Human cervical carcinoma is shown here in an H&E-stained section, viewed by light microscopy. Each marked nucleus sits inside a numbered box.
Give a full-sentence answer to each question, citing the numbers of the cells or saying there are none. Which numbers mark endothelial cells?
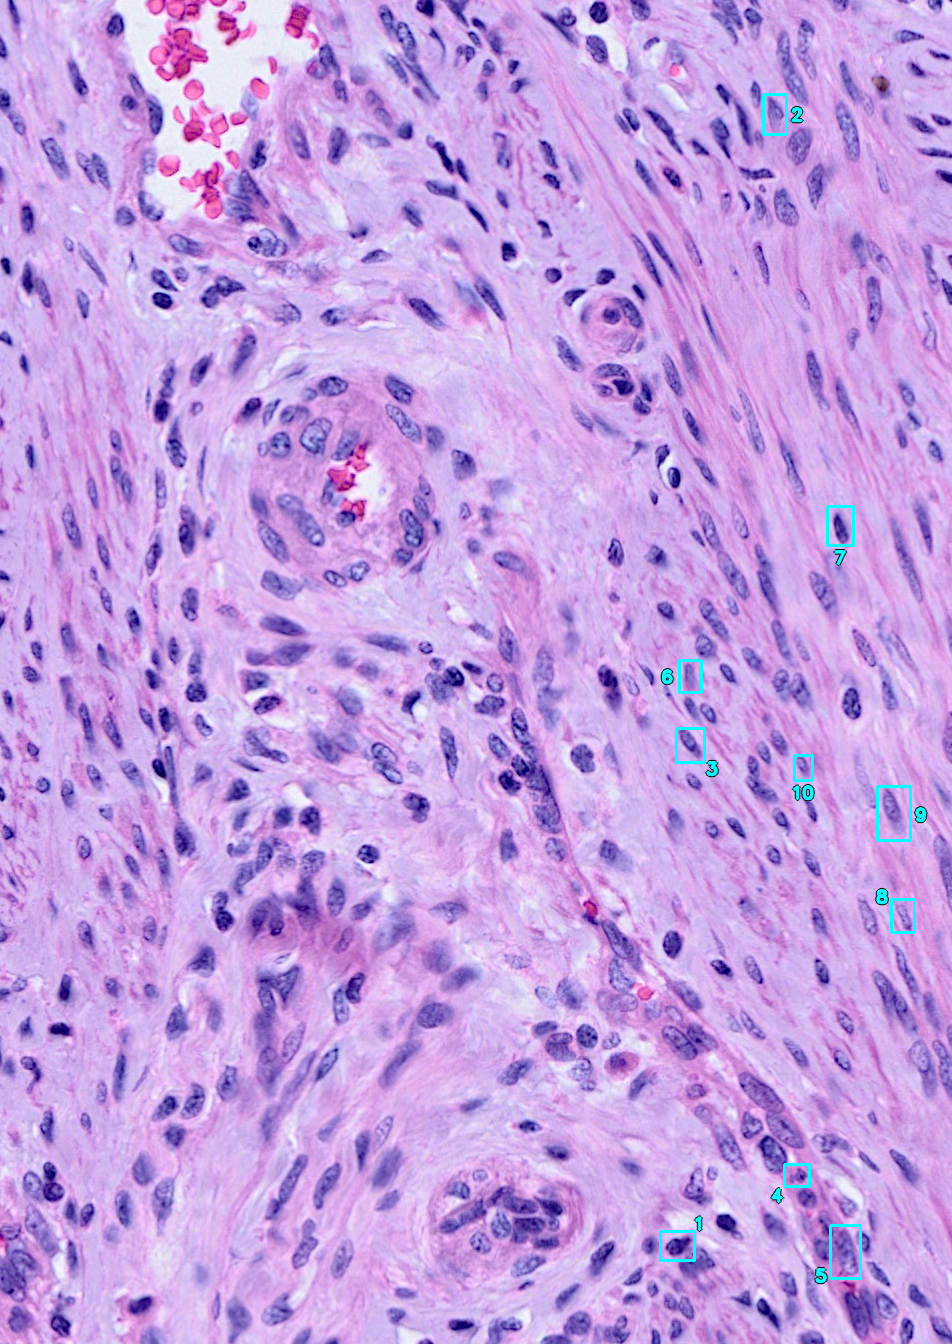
In short, the numbered cells 4 and 5 are endothelial cells.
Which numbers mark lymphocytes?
The cells numbered 1 and 7 are, by type, lymphocytes.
